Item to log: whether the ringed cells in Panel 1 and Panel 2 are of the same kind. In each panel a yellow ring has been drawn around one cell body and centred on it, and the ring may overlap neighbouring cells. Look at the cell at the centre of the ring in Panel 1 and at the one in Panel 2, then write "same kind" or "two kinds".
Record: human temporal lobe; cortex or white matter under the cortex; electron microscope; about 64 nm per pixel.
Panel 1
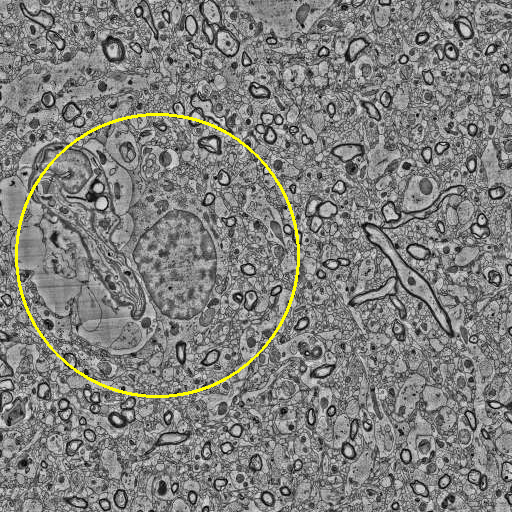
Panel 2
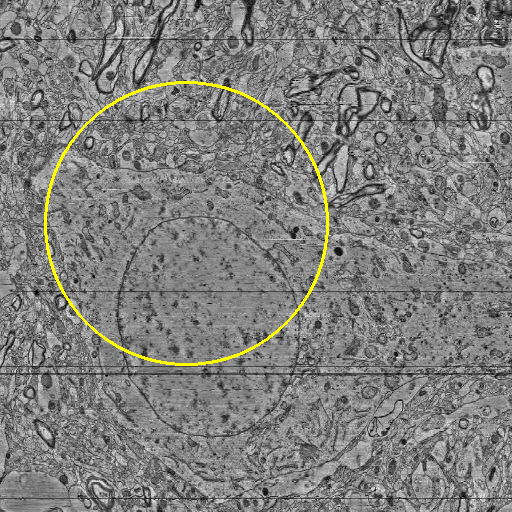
two kinds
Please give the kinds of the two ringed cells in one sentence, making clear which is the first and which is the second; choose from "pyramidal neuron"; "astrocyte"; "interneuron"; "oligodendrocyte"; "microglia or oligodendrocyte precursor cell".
In the second picture the ringed cell is a pyramidal neuron; in the first it is an oligodendrocyte.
